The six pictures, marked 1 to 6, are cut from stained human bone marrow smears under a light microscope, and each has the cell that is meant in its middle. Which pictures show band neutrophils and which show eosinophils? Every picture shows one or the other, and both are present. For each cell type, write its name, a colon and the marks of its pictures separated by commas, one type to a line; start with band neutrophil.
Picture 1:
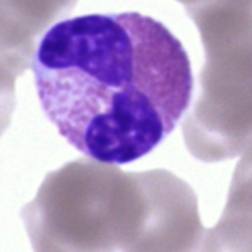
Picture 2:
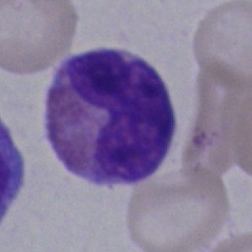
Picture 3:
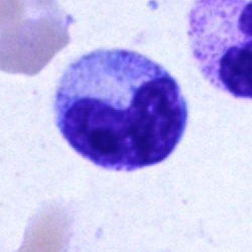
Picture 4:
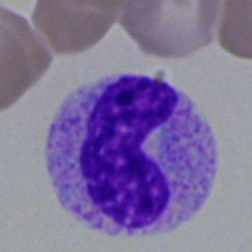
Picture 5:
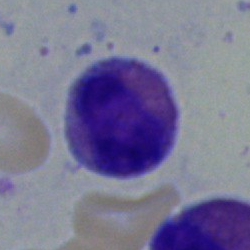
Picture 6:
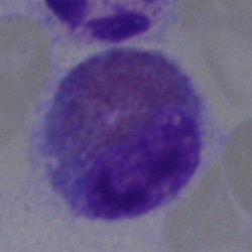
band neutrophil: 3, 4
eosinophil: 1, 2, 5, 6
